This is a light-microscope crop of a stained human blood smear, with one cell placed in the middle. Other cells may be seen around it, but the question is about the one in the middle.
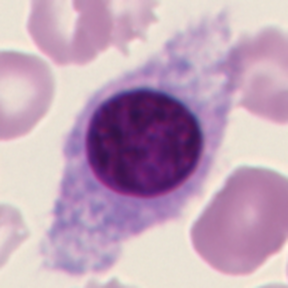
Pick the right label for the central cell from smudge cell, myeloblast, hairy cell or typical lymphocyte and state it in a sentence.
The middle position in this crop is taken by a hairy cell.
